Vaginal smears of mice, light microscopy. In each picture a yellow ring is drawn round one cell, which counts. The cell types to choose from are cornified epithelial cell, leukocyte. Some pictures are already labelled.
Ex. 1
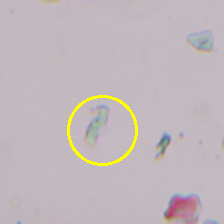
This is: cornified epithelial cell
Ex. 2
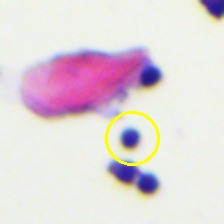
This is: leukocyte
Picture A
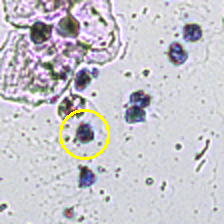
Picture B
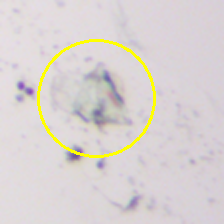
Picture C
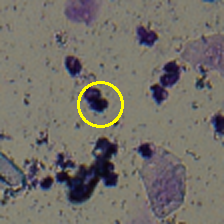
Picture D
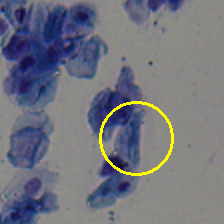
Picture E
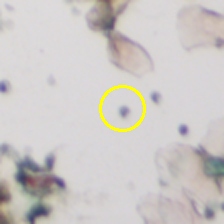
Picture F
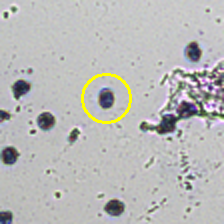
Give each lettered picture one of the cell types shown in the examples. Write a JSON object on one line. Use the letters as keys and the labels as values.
{"A": "leukocyte", "B": "cornified epithelial cell", "C": "leukocyte", "D": "cornified epithelial cell", "E": "leukocyte", "F": "leukocyte"}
